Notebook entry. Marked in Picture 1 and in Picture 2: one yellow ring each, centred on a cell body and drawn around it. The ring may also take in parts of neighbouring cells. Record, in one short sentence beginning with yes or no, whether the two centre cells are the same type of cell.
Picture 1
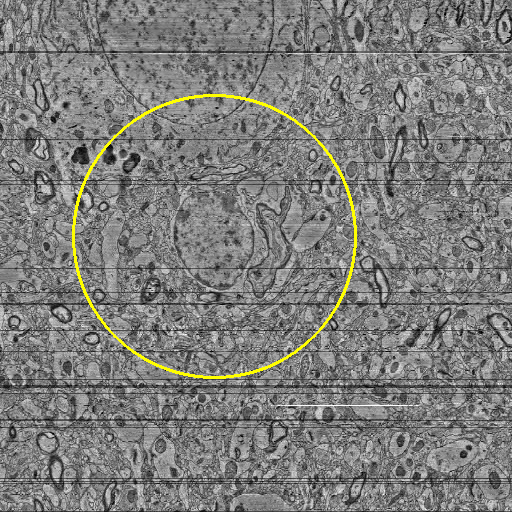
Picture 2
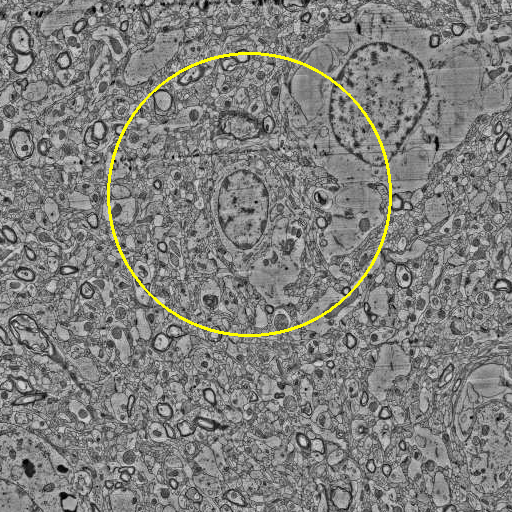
Yes, both are the same type of cell.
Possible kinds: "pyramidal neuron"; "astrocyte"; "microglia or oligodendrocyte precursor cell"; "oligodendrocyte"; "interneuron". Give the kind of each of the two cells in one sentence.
The second cell is a microglial cell or oligodendrocyte precursor cell, just as the first is.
